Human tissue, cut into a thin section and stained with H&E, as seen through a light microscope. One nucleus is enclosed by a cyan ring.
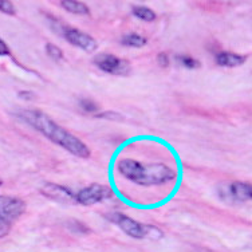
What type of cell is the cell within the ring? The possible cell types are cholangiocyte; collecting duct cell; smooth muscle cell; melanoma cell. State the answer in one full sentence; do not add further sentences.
Histopathologically, the cell within the ring is a smooth muscle cell.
